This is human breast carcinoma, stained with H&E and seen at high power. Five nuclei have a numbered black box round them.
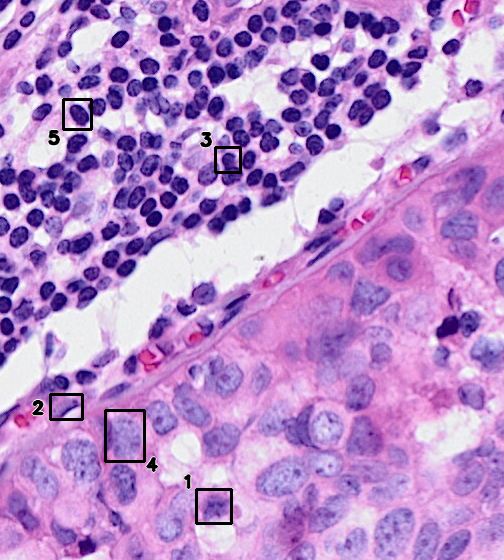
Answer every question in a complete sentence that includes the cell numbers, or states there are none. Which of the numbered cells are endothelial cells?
Unlike the other numbered cells, cell 2 is an endothelial cell.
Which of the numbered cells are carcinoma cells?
Classified as carcinoma cells are the cells numbered 1 and 4.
